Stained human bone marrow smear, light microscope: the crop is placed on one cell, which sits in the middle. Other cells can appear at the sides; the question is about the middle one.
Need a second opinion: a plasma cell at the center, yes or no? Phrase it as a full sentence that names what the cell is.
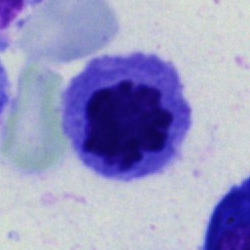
No, the cell in the middle of the field is an erythroblast, not a plasma cell as suggested.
